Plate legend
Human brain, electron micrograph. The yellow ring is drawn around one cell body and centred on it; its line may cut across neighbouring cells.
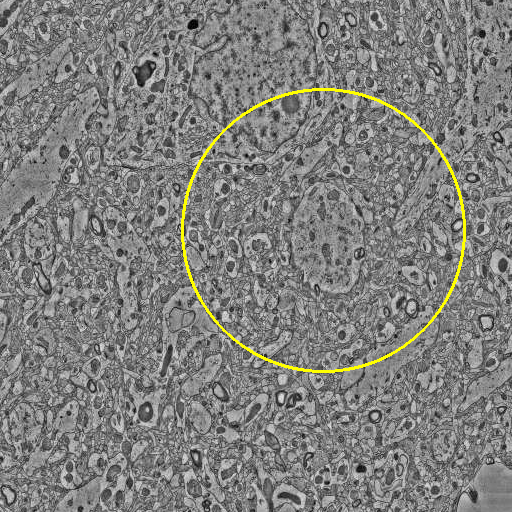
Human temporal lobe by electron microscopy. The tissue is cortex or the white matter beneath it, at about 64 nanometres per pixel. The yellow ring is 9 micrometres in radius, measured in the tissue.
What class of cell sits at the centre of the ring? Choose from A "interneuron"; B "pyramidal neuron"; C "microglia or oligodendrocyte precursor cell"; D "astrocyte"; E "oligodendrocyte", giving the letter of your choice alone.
A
